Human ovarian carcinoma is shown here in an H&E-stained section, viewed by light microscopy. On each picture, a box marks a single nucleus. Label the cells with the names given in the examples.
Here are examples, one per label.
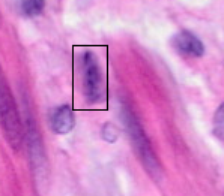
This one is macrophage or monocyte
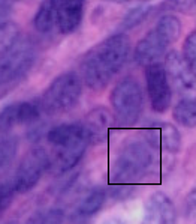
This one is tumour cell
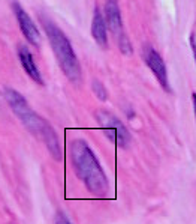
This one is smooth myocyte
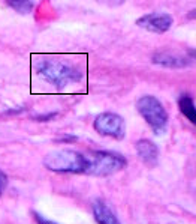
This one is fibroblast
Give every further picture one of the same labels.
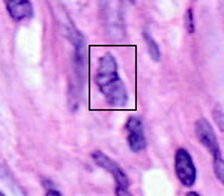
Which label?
macrophage or monocyte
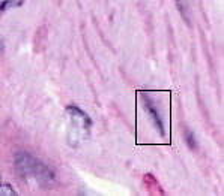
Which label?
fibroblast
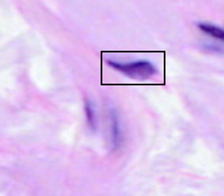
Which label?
fibroblast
